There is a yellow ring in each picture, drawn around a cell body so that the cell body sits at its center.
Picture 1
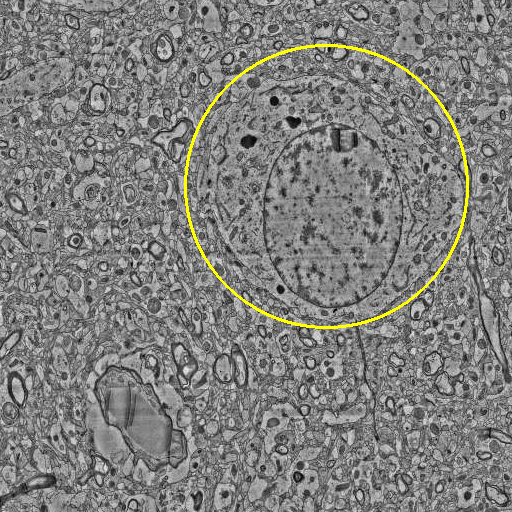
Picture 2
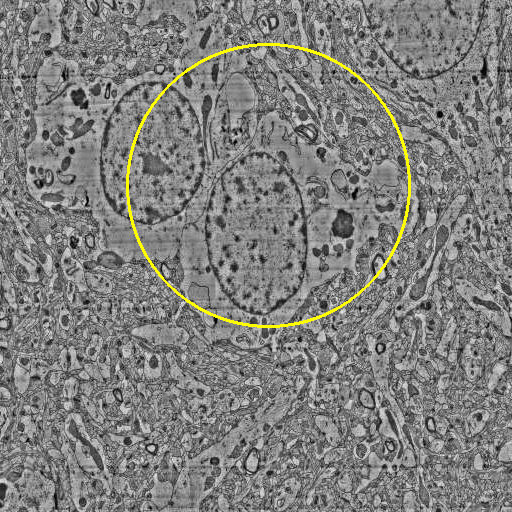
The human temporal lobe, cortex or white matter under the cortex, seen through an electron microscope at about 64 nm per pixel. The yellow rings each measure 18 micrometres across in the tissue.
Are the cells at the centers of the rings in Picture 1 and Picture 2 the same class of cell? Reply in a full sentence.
No, the two cells are two classes of cell.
